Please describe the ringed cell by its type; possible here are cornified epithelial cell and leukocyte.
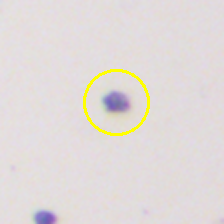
The yellow ring marks a leukocyte.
